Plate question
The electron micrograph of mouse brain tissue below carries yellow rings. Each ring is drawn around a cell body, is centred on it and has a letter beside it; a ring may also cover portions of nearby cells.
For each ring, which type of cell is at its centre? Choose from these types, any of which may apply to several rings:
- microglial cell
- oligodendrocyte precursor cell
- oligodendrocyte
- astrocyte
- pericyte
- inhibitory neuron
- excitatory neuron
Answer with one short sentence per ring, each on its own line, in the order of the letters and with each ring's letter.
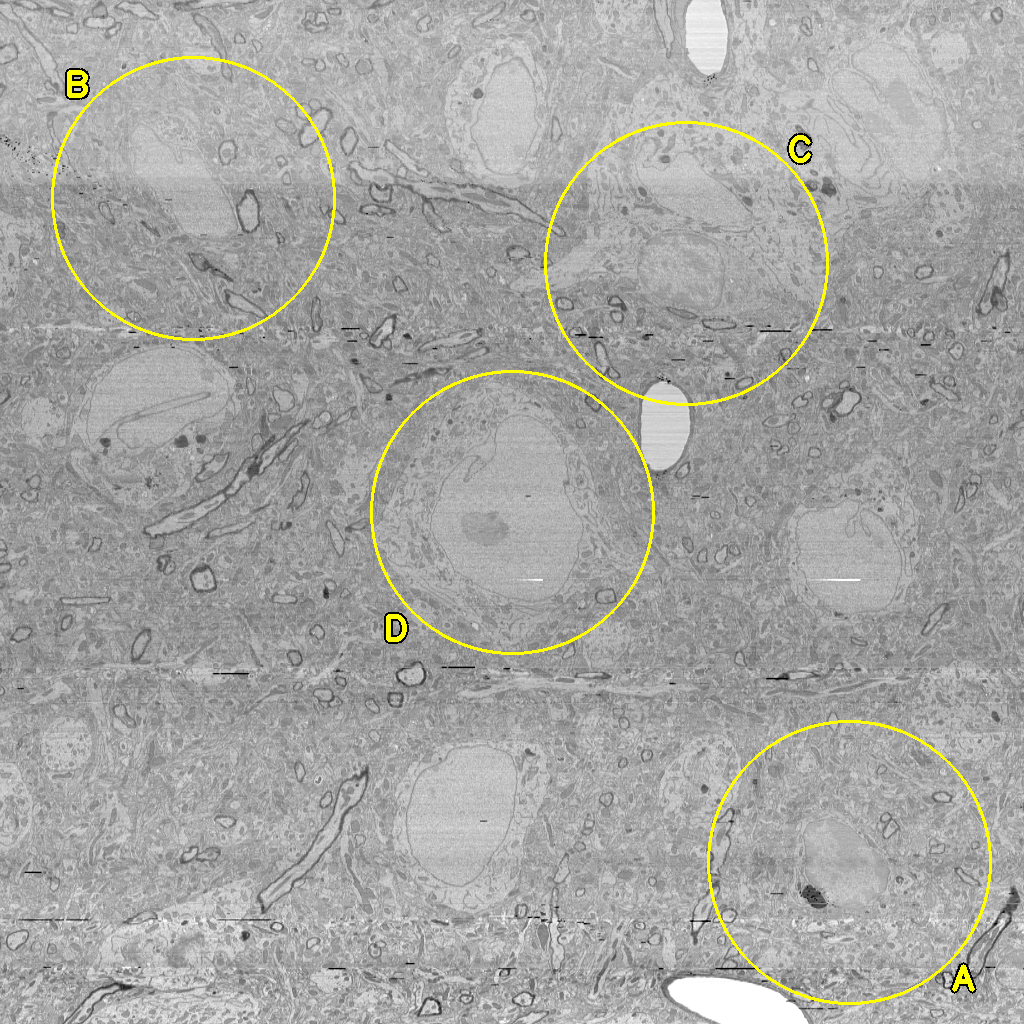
The cell ringed as A is a microglial cell.
The cell ringed as B is an oligodendrocyte precursor cell.
The cell ringed as C is an oligodendrocyte.
The cell ringed as D is an excitatory neuron.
